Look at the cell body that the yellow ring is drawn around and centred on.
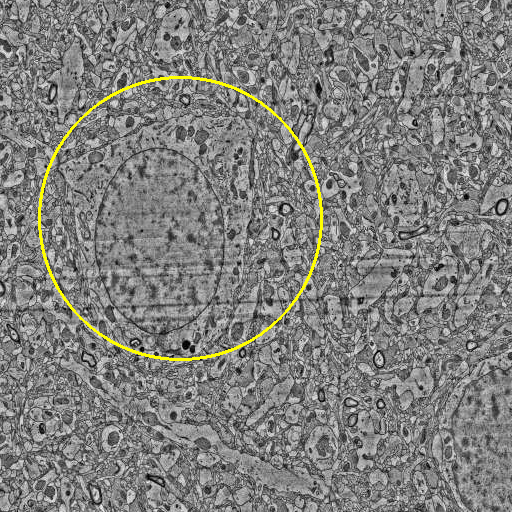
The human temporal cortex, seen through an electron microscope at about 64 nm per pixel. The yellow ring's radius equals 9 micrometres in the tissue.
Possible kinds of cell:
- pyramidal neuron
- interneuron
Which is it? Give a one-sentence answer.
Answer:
The centred cell body is that of a pyramidal neuron.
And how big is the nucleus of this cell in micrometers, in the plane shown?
The nucleus is approximately 12 micrometers long by 8 micrometers wide in this plane.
